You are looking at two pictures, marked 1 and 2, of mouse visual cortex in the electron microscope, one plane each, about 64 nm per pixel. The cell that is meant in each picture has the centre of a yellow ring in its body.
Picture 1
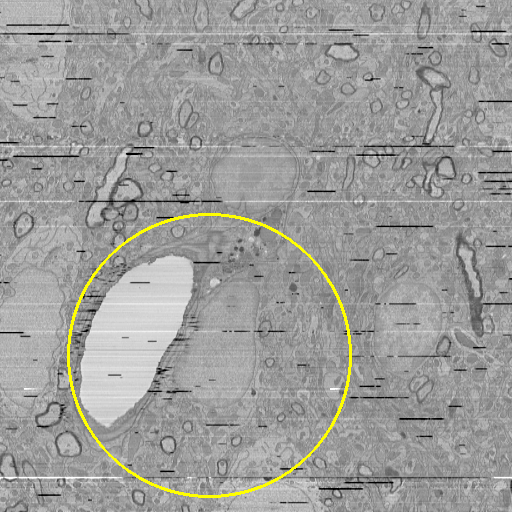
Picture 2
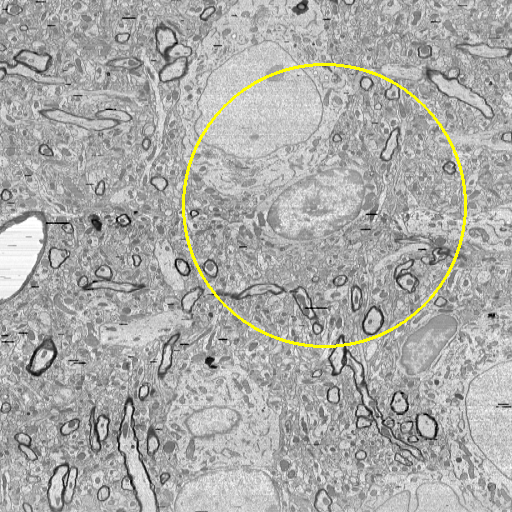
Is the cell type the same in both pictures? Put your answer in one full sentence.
No, they differ: the cell is an astrocyte in picture 1 and an oligodendrocyte in picture 2.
